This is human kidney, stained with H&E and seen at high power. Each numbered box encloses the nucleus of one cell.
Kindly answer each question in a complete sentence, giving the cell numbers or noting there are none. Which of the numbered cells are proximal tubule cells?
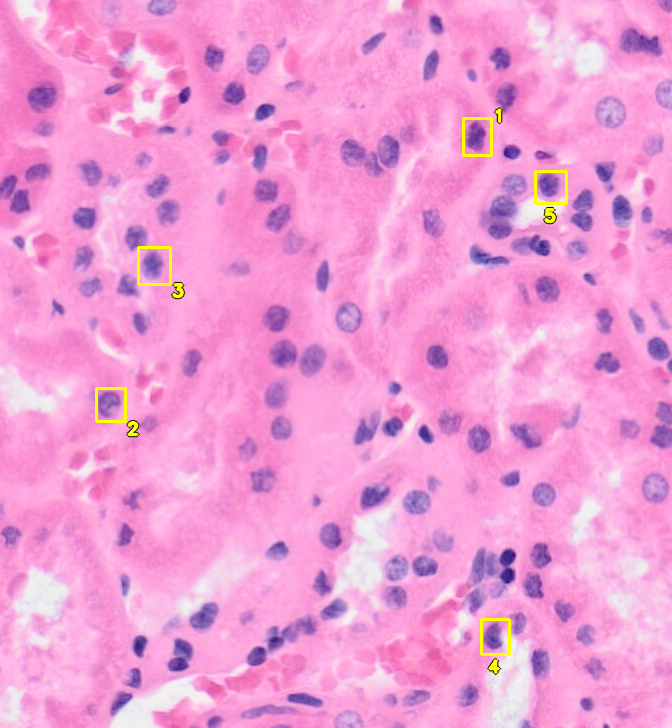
In this section, the cells numbered 1 and 2 are proximal tubule cells.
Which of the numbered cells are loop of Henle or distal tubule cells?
The numbers 3 and 4 mark cells that are loop of Henle or distal tubule cells.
